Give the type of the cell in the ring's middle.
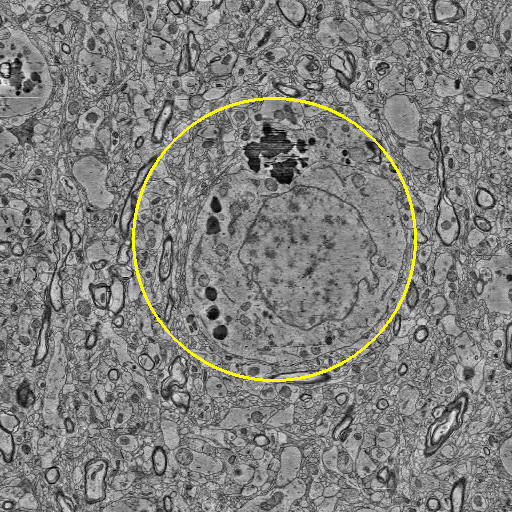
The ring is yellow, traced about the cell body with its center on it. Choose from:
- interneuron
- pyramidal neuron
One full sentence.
Here, a pyramidal neuron is the cell lying at the center of the yellow ring.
